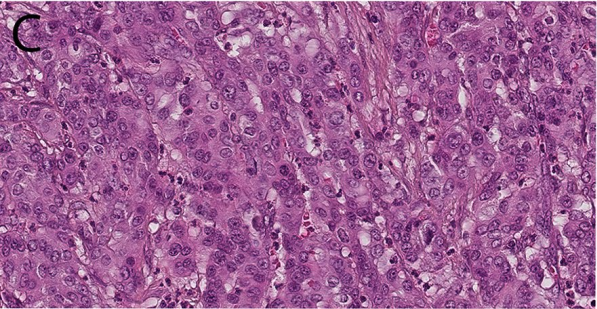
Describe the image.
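Carcinoma composed of cohesive sheets and cords of large polygonal tumor cells. The nuclei are large, round to oval and vesicular, with distinct nucleoli. The cytoplasm is abundant and pink, with a few clear vacuoles.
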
